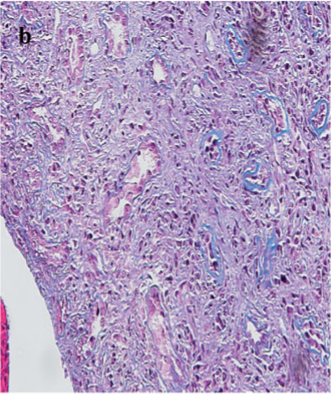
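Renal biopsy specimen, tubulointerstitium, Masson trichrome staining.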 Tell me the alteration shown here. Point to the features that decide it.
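Small shrunken tubules with narrow lumens are scattered in the stroma. The answer: Storiform fibrosis.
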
